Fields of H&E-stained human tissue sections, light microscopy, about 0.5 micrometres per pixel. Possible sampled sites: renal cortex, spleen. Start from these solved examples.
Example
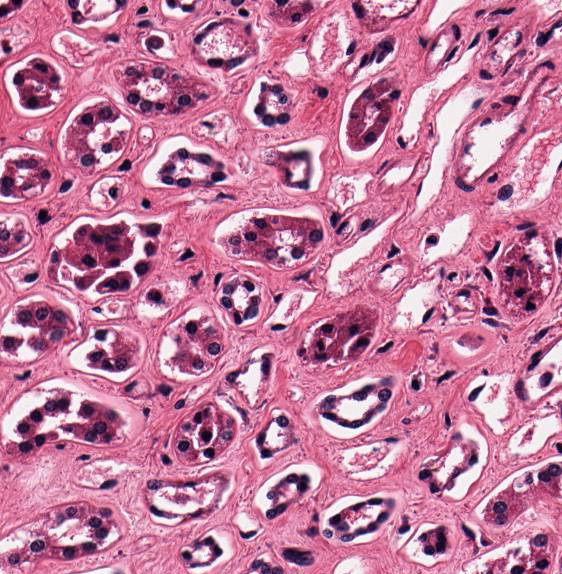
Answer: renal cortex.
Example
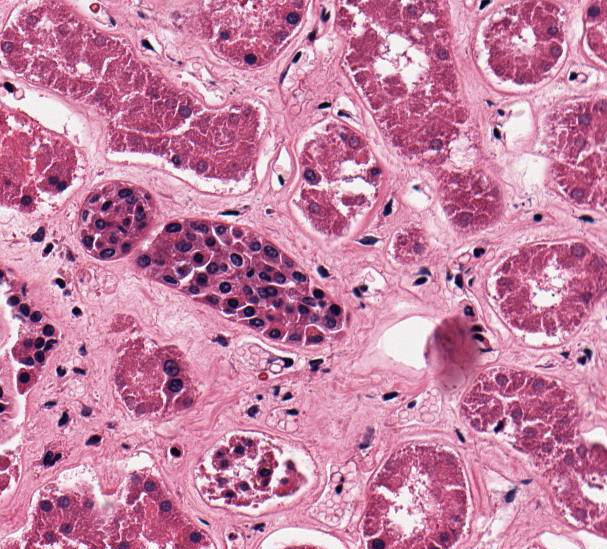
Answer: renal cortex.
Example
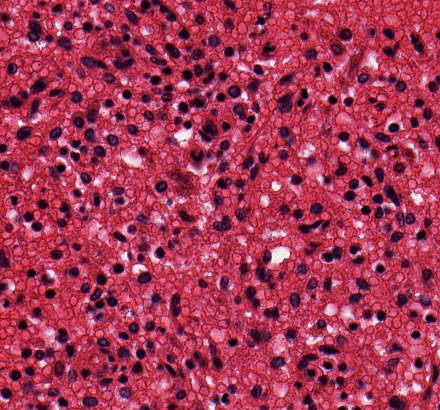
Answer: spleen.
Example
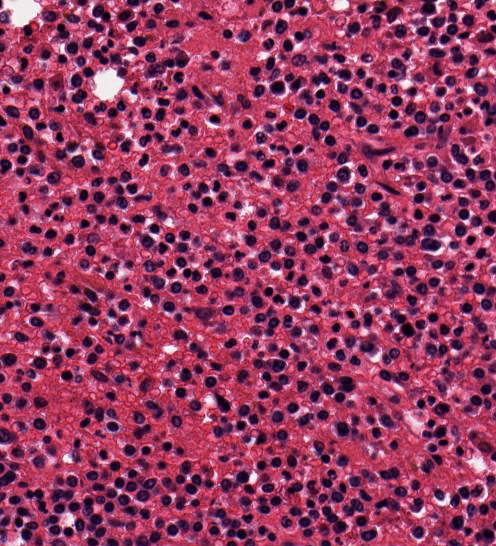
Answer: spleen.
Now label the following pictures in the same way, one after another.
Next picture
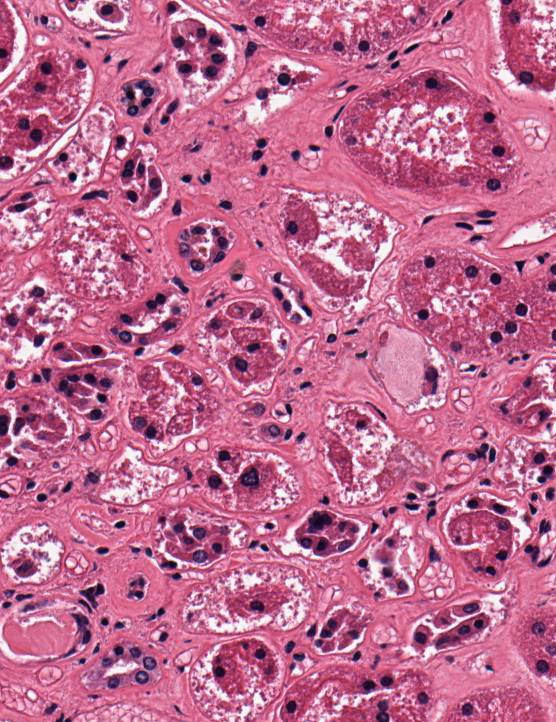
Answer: renal cortex.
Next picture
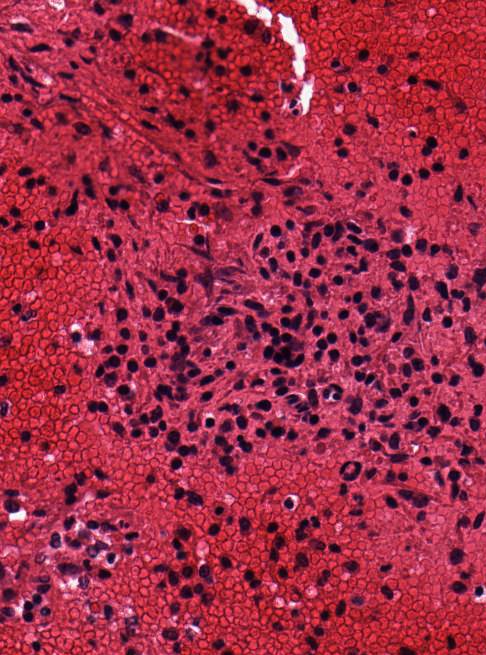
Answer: spleen.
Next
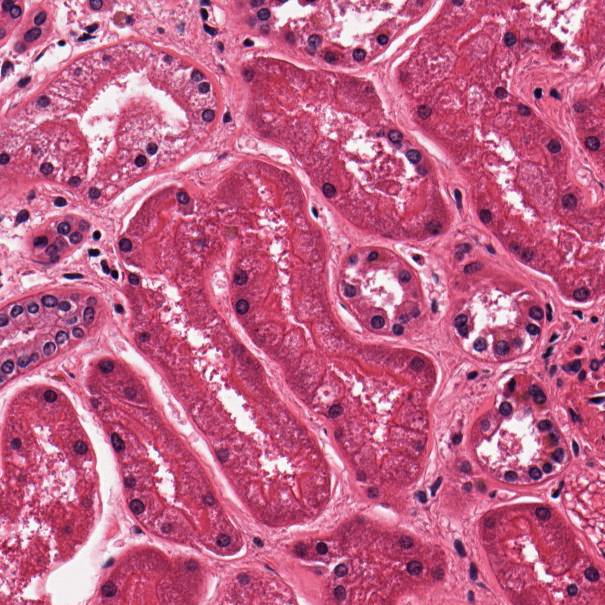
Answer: renal cortex.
